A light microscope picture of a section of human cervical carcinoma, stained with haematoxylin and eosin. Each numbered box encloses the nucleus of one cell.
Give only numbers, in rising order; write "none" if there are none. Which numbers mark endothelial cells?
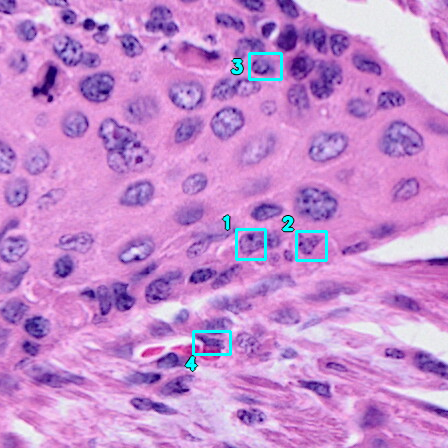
4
